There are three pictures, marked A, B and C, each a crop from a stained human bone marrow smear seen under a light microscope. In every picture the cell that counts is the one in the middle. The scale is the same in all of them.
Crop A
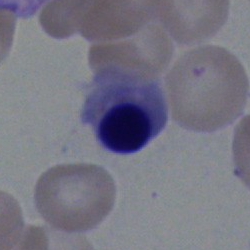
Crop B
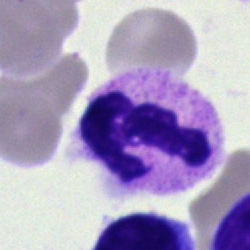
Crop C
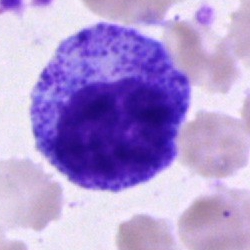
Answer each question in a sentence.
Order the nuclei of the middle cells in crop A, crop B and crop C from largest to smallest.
From the largest down, the order is C, B, A.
